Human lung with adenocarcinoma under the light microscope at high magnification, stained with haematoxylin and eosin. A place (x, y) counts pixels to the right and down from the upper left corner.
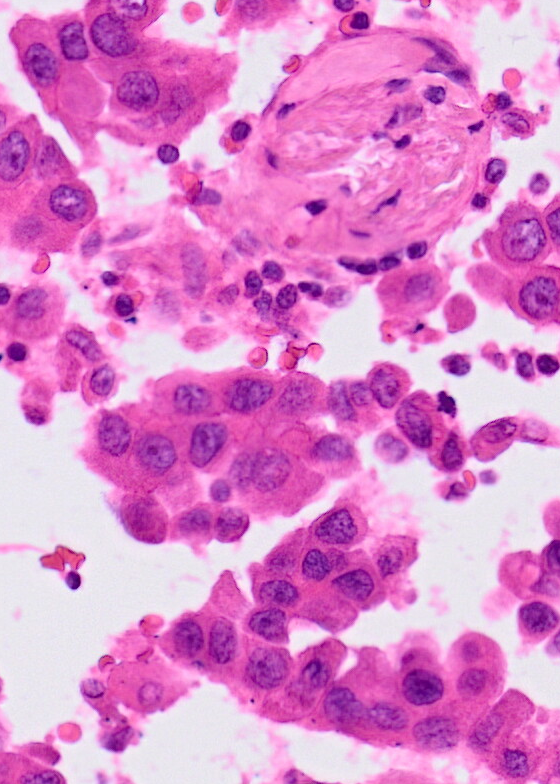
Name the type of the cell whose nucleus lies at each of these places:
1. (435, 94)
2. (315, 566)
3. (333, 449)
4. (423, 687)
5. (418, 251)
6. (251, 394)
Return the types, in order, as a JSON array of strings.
["lymphocyte", "carcinoma cell", "carcinoma cell", "carcinoma cell", "lymphocyte", "carcinoma cell"]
